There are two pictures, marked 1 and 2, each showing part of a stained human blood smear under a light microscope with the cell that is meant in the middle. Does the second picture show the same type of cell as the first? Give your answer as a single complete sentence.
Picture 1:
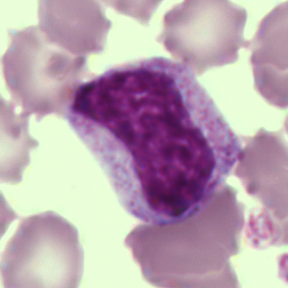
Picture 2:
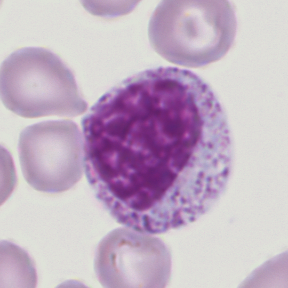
Yes, both are metamyelocytes.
